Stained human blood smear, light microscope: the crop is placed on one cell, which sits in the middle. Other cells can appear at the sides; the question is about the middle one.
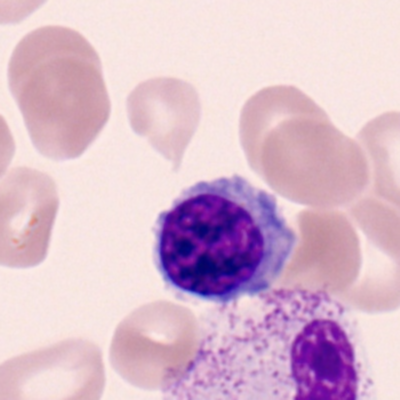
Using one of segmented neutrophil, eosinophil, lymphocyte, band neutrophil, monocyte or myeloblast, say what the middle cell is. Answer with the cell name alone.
lymphocyte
